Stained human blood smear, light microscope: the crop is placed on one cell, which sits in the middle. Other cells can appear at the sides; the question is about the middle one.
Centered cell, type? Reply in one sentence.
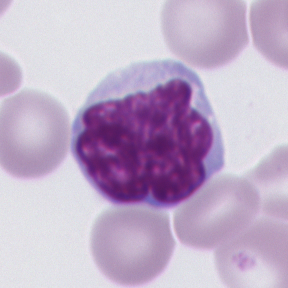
The crop shows a large granular lymphocyte in its centre.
